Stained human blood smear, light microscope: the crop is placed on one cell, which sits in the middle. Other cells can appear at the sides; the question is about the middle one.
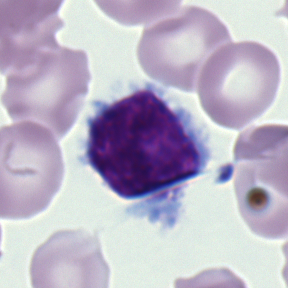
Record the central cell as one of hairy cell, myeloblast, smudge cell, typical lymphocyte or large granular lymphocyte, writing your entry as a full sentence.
At the crop's centre, the cell is a hairy cell.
